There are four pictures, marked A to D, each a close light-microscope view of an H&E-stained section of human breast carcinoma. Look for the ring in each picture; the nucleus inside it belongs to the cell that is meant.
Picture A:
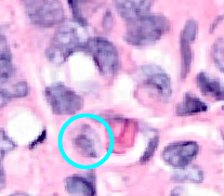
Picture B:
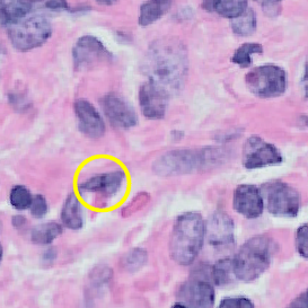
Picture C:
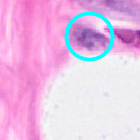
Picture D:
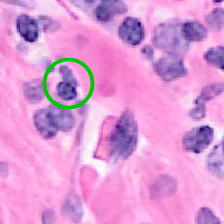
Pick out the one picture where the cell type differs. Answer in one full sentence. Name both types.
The others show endothelial cells, but picture D shows a lymphocyte.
